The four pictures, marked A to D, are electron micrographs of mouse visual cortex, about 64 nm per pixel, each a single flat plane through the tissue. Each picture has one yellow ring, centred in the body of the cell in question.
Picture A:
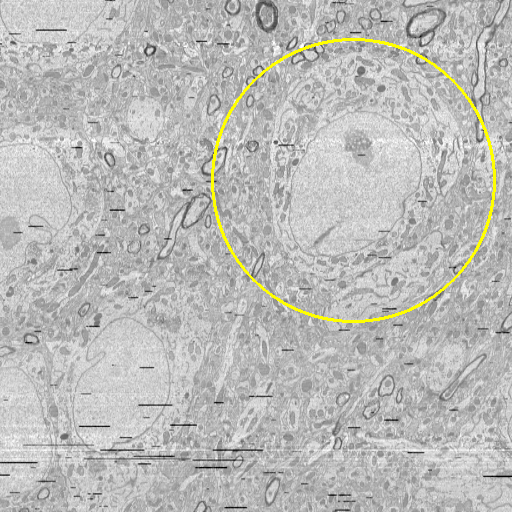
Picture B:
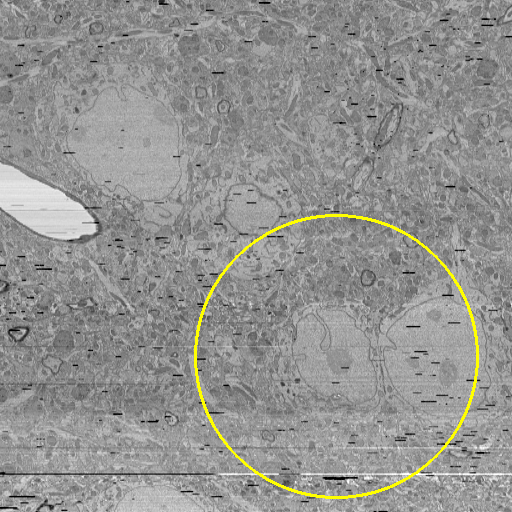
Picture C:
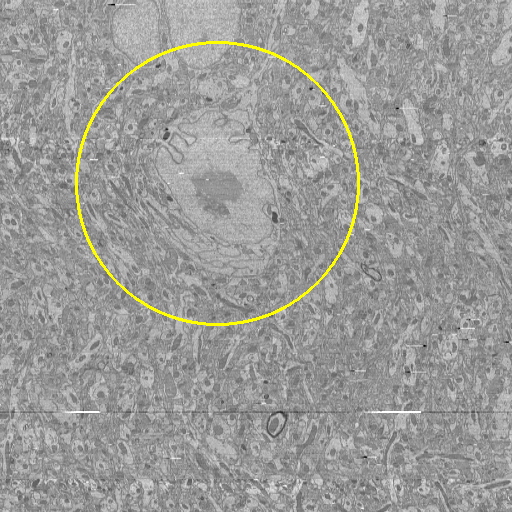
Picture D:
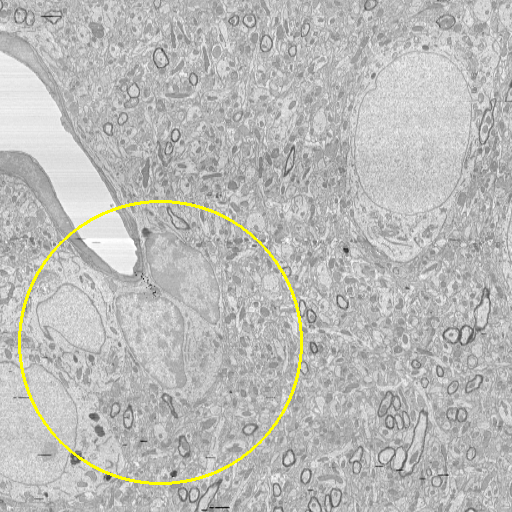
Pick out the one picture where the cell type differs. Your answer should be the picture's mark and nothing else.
D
